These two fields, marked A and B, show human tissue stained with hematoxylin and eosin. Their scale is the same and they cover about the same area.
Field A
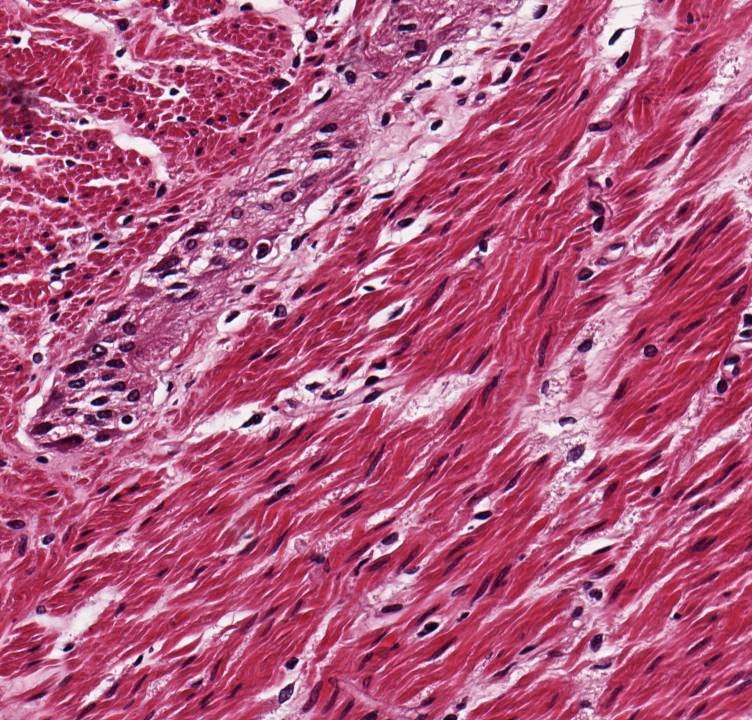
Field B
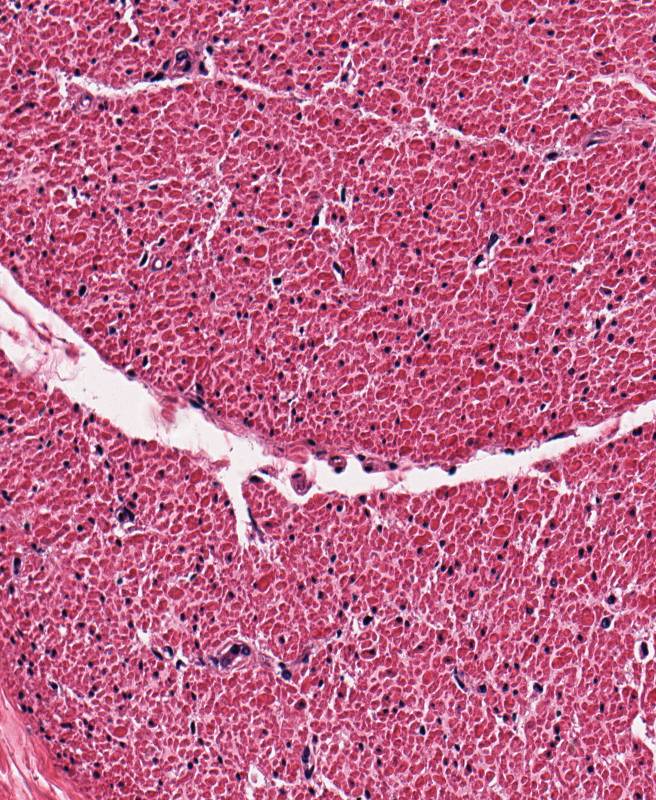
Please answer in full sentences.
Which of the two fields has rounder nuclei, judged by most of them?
Rounder nuclei lie in field B.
